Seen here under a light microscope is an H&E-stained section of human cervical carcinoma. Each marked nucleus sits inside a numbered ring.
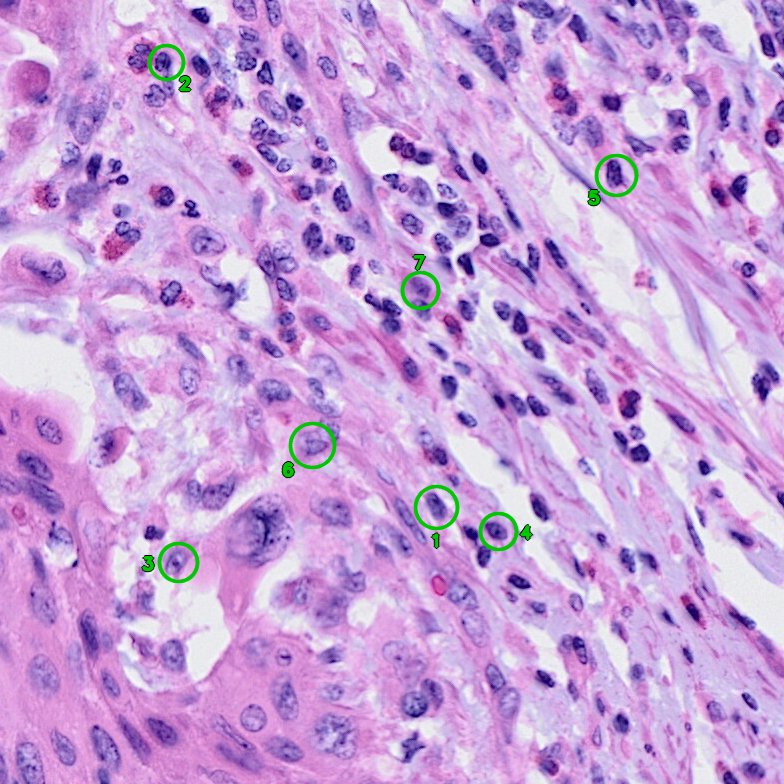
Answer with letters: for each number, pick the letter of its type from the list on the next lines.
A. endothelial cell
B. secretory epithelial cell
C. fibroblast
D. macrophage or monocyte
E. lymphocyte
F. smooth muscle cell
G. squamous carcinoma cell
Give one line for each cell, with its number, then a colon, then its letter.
1: E
2: E
3: D
4: E
5: E
6: A
7: D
